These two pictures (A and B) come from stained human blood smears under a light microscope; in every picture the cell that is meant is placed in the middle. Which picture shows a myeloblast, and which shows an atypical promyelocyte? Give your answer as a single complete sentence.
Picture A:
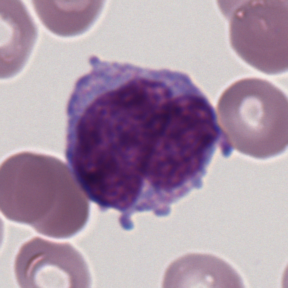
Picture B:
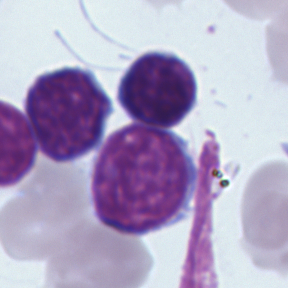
Picture A is of an atypical promyelocyte, and picture B is of a myeloblast.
